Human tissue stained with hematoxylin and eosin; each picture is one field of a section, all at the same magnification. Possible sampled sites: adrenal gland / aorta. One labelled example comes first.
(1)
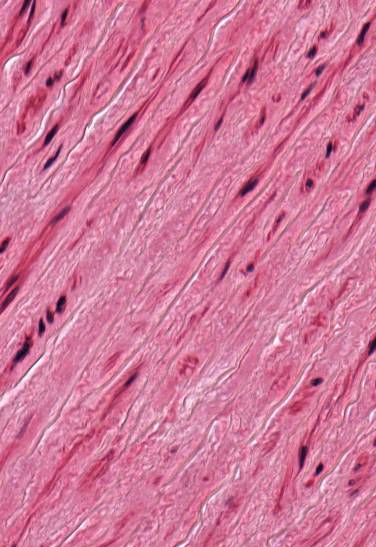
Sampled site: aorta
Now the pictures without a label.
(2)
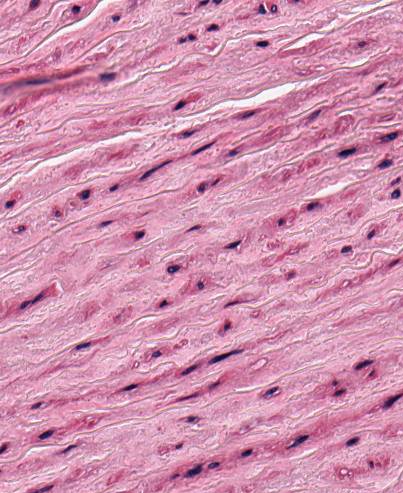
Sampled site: aorta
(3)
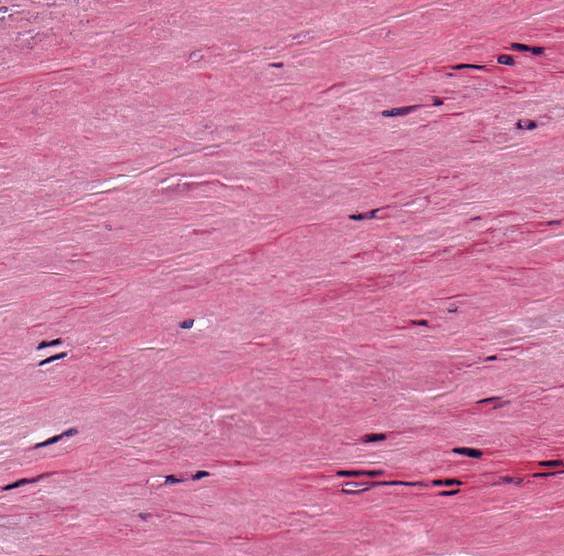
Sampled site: aorta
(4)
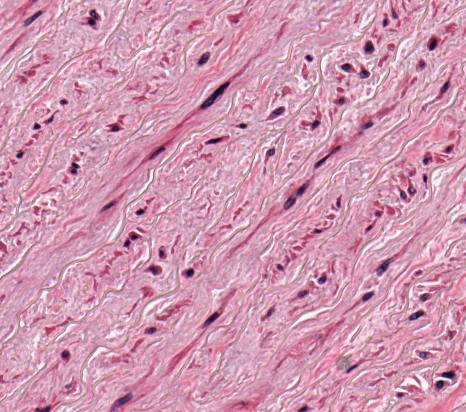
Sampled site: aorta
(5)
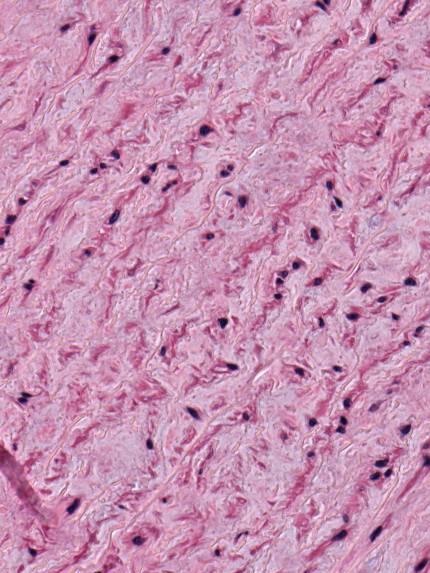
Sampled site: aorta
